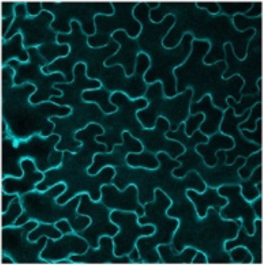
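This surface view of the leaf epidermis shows cell walls as bright cyan lines. The whole field is tiled by large pavement cells with deeply lobed, interlocking jigsaw outlines, and no pairs of guard cells around pores can be made out.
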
